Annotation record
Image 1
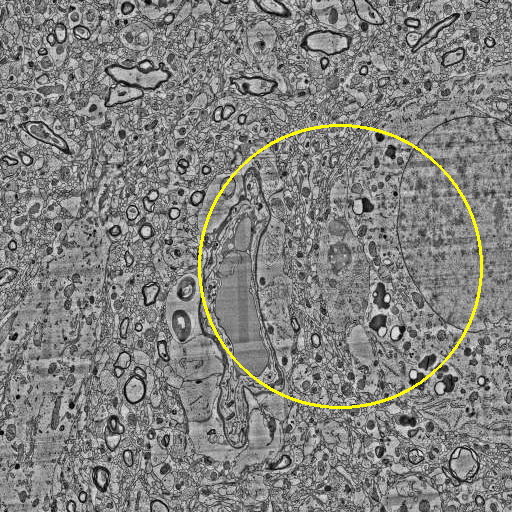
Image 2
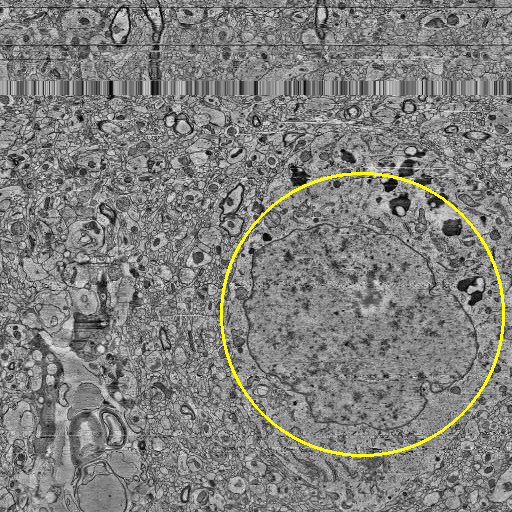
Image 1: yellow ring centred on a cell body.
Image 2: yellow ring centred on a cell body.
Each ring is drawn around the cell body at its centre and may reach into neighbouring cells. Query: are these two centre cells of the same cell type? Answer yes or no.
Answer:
no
